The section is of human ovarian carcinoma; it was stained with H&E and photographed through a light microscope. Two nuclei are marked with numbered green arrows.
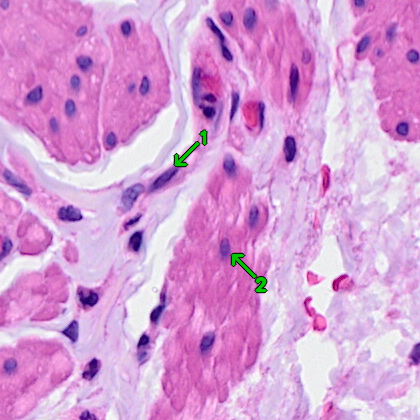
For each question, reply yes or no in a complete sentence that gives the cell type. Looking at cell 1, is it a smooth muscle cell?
No, number 1 belongs to an endothelial cell, not to a smooth muscle cell.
